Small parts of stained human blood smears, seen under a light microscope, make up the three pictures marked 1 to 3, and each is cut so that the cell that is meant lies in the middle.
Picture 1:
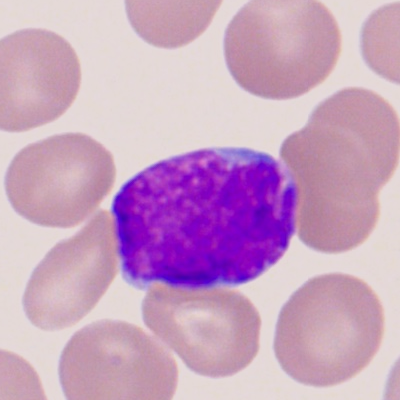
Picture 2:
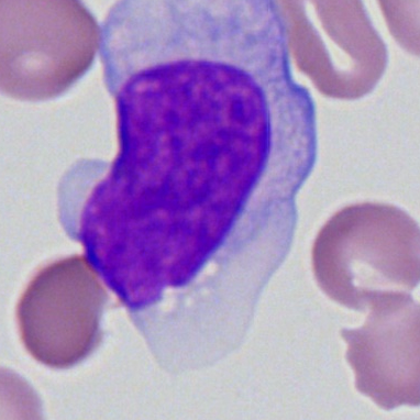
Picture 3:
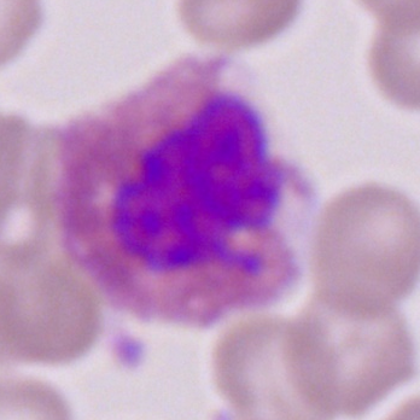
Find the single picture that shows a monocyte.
2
